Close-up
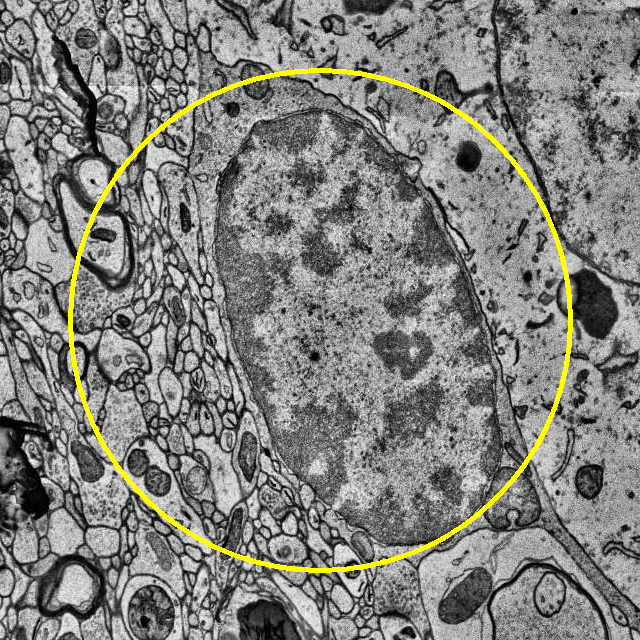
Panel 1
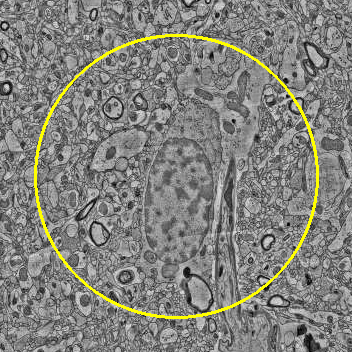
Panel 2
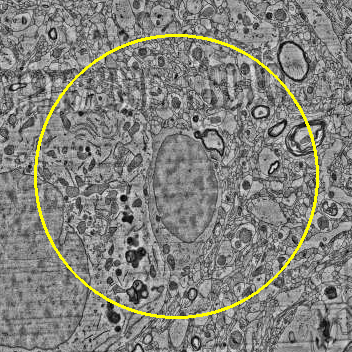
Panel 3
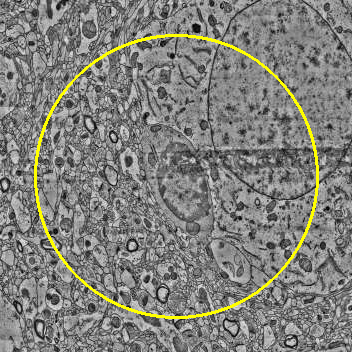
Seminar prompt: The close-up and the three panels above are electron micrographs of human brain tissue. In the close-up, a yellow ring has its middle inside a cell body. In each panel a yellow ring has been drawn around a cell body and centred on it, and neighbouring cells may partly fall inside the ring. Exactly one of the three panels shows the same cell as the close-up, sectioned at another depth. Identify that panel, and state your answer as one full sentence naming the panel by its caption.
The cell ringed in yellow within Panel 3 is the close-up cell.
